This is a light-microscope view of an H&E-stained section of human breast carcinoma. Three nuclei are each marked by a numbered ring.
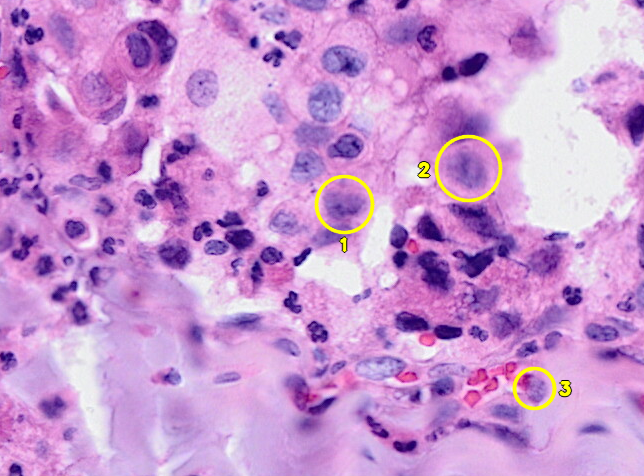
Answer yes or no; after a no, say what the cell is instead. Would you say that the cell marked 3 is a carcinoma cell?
No, it is an endothelial cell.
